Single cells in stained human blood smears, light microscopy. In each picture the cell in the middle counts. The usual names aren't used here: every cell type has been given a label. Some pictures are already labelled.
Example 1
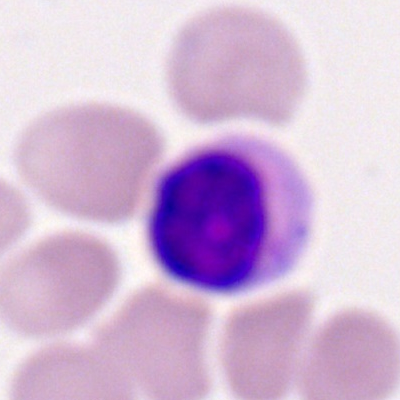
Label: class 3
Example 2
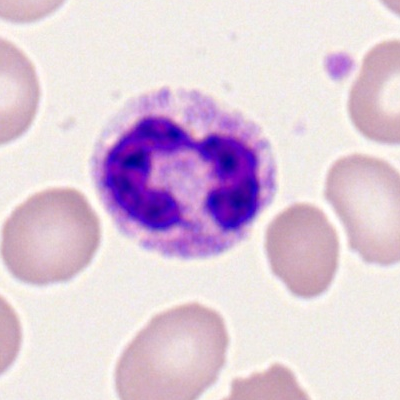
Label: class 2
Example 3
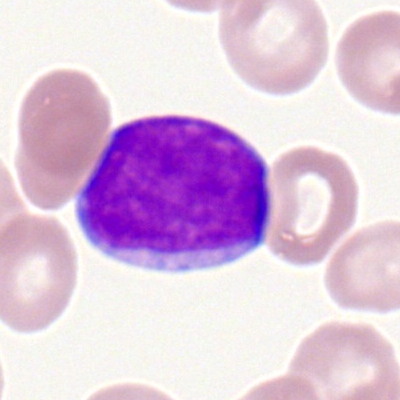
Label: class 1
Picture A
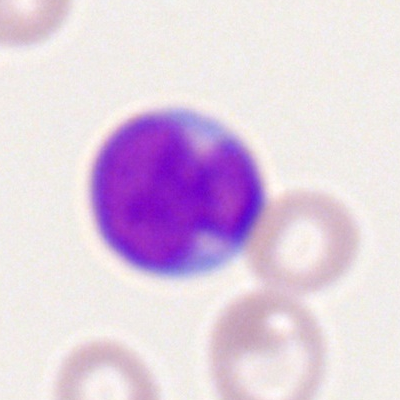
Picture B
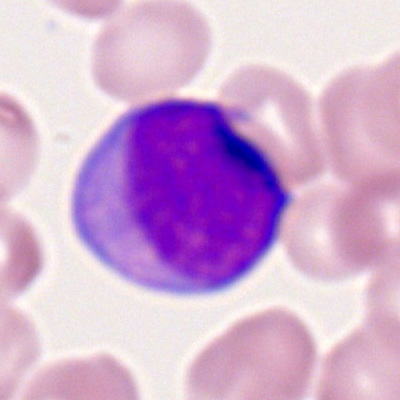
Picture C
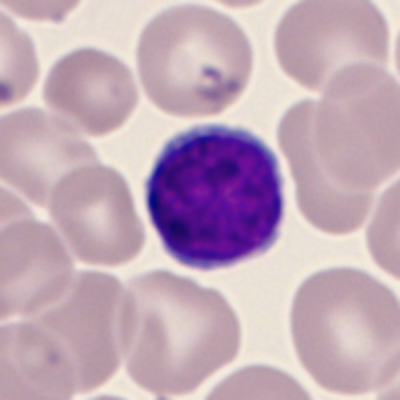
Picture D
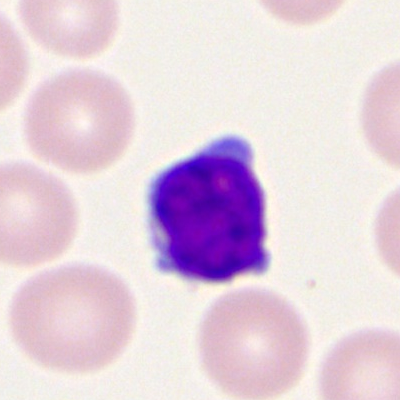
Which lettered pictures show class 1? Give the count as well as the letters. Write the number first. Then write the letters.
2, namely A, B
